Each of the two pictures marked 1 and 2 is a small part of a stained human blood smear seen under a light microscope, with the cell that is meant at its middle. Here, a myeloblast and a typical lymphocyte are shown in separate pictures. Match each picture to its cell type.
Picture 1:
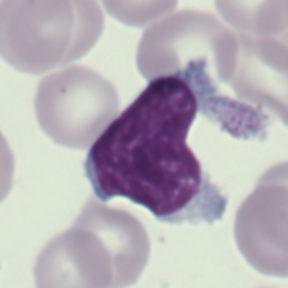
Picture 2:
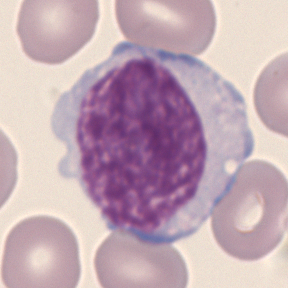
1: typical lymphocyte
2: myeloblast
